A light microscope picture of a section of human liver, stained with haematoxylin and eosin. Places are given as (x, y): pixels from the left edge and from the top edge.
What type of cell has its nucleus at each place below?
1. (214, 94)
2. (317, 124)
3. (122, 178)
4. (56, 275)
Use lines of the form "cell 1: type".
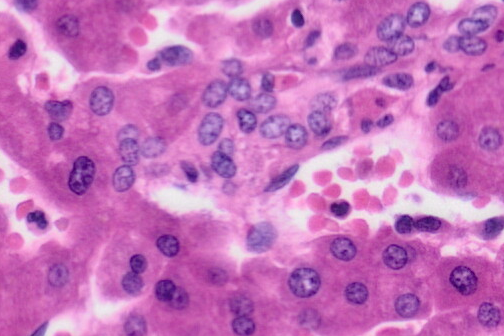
cell 1: cholangiocyte
cell 2: cholangiocyte
cell 3: cholangiocyte
cell 4: hepatocyte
